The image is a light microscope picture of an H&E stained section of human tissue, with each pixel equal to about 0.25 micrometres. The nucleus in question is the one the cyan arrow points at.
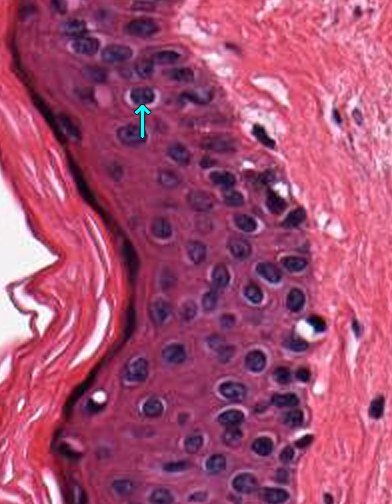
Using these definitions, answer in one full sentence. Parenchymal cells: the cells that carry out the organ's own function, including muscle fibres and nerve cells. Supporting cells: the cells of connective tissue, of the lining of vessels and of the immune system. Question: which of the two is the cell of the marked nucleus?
Of the parenchymal cells, the one holding the marked nucleus is a keratinocyte.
